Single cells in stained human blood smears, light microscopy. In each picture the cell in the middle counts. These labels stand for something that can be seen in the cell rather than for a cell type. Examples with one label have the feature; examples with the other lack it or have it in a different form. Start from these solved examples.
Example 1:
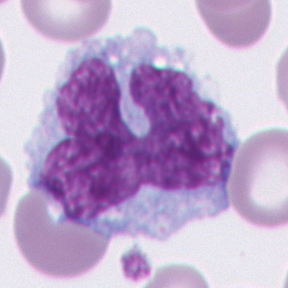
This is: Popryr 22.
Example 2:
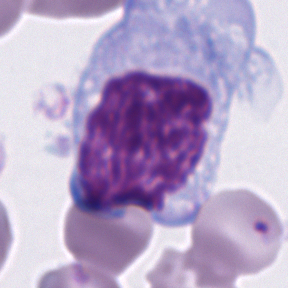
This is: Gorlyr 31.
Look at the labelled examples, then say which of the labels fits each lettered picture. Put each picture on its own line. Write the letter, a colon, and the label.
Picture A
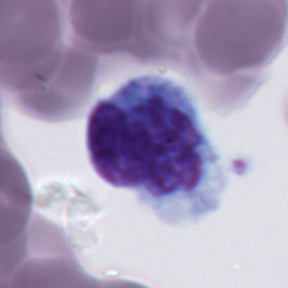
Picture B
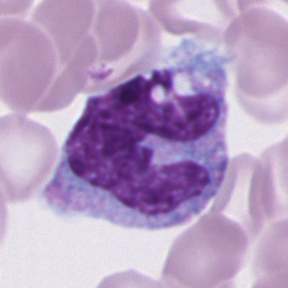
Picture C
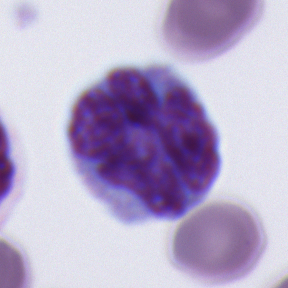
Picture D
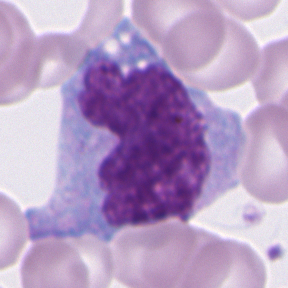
A: Popryr 22.
B: Gorlyr 31.
C: Popryr 22.
D: Gorlyr 31.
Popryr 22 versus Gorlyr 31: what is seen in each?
Popryr 22: scant cytoplasm; Gorlyr 31: abundant cytoplasm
